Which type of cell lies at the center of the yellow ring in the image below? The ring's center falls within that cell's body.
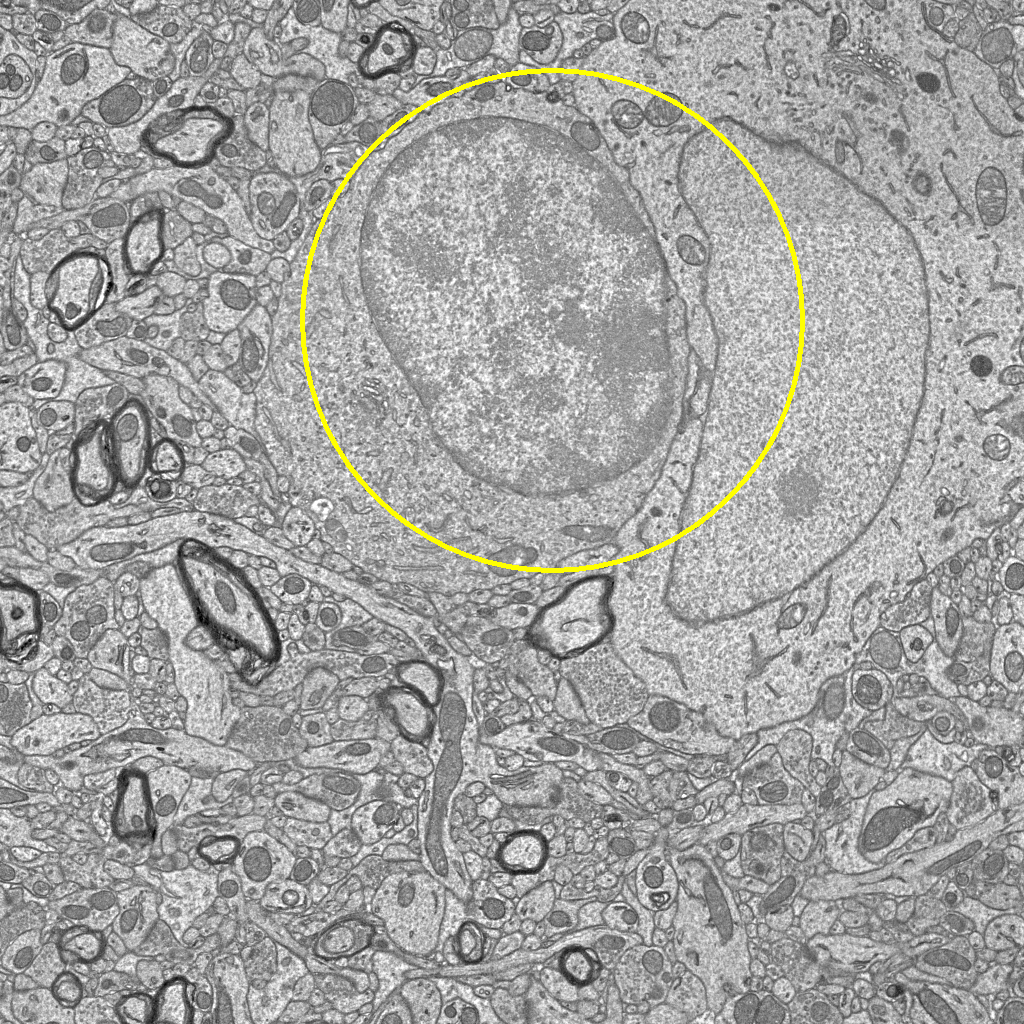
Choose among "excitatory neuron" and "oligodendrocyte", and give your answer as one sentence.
The cell body at the center belongs to an oligodendrocyte.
